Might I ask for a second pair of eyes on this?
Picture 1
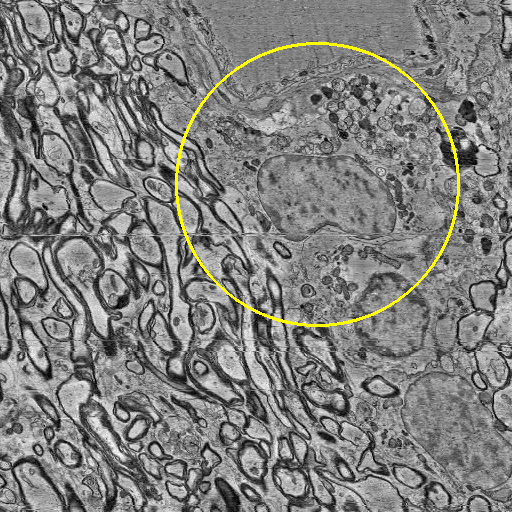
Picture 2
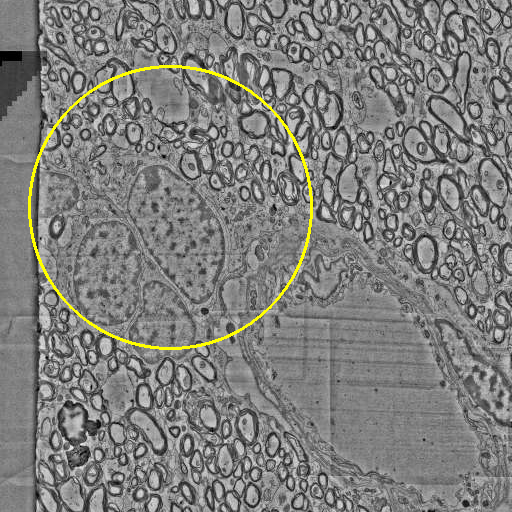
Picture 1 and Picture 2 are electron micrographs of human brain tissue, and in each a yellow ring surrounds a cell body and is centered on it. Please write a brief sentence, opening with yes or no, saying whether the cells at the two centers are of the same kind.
Yes, the cells are of the same kind.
